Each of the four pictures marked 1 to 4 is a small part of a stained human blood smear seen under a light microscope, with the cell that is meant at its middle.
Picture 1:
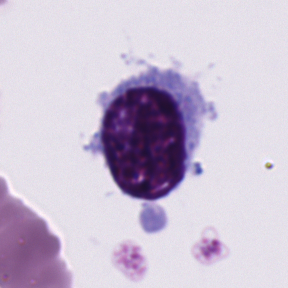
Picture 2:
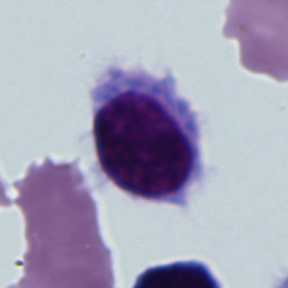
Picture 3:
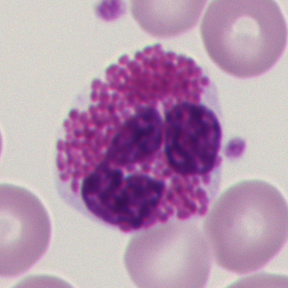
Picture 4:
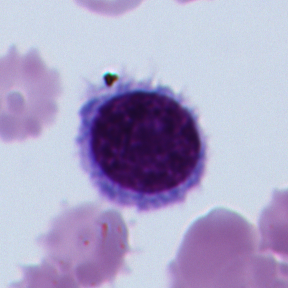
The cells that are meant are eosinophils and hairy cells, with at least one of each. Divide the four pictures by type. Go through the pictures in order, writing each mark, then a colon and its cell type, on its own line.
1: hairy cell
2: hairy cell
3: eosinophil
4: hairy cell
